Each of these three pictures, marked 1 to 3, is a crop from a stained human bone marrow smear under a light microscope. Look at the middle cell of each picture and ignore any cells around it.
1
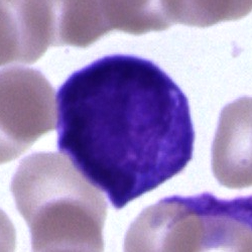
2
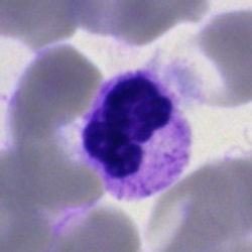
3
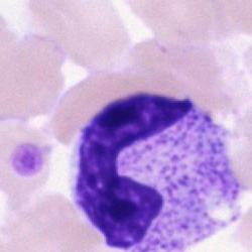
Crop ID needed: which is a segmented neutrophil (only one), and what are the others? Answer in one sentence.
Crop 2 represents a segmented neutrophil, while crop 1 is a blast and crop 3 is a band neutrophil.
